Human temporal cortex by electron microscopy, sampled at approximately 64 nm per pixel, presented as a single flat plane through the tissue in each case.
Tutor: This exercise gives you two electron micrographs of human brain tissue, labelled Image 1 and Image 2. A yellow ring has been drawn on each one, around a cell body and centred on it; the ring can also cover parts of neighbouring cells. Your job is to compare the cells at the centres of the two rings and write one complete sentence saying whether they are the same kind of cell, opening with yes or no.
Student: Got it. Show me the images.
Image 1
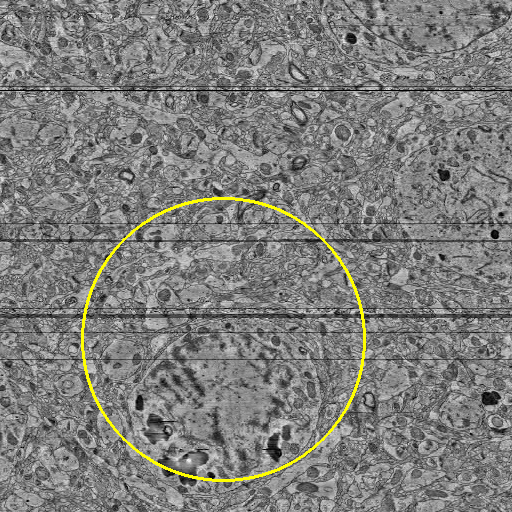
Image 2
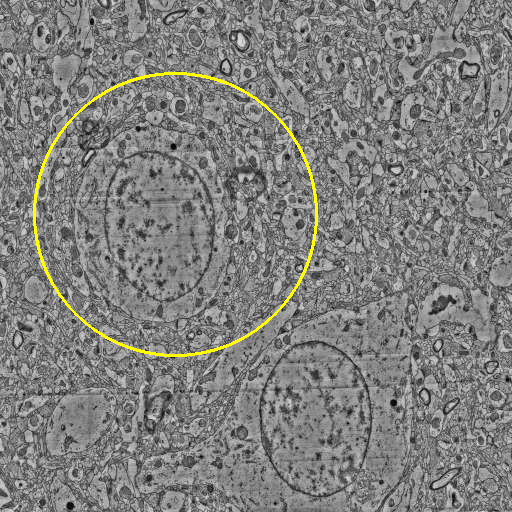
No, the two cells belong to two kinds.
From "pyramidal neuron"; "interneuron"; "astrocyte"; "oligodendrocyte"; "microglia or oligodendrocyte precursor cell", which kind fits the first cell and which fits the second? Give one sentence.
The cell marked in the first picture is an interneuron, and the one marked in the second is a pyramidal neuron.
